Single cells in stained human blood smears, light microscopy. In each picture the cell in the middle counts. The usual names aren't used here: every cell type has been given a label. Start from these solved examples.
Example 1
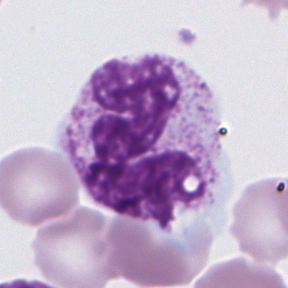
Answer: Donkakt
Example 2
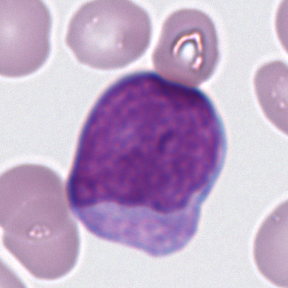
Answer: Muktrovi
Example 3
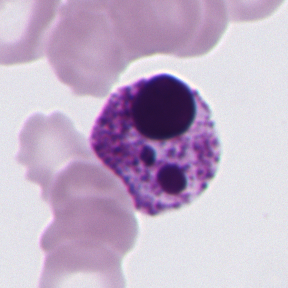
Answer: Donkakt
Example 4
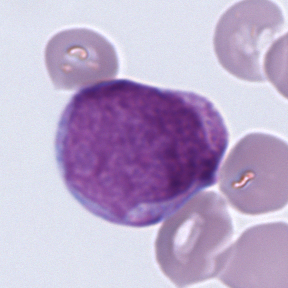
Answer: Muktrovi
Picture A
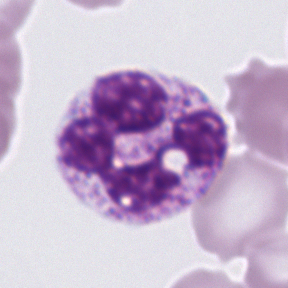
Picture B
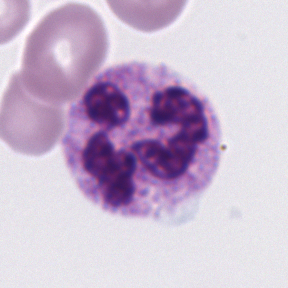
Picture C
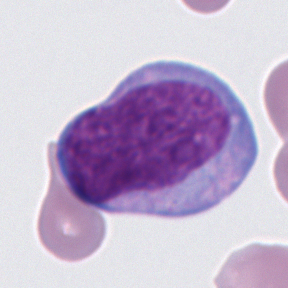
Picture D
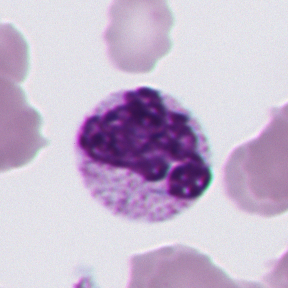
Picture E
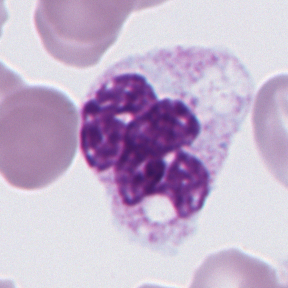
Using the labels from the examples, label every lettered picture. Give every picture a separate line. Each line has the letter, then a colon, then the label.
A: Donkakt
B: Donkakt
C: Muktrovi
D: Donkakt
E: Donkakt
